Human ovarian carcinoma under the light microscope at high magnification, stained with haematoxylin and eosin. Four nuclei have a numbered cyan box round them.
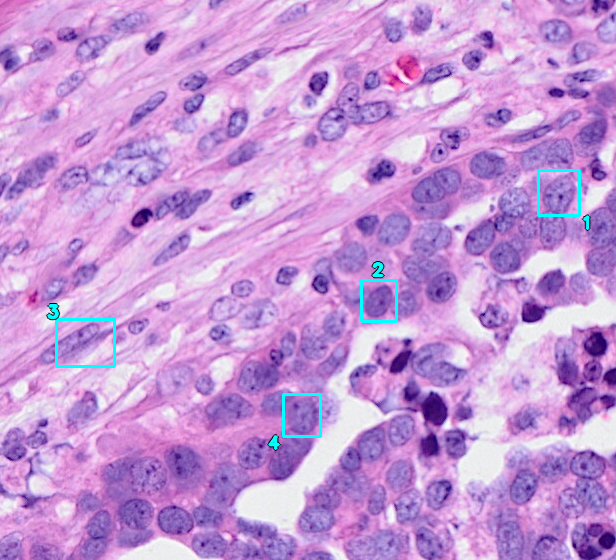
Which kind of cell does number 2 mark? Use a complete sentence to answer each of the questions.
That cell with number 2 is a carcinoma cell.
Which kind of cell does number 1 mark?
The cell indicated with the number 1 is classed as a carcinoma cell.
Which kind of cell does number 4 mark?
Marked with the number 4, this cell is a carcinoma cell.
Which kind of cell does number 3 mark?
At number 3, the marked cell is a fibroblast.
